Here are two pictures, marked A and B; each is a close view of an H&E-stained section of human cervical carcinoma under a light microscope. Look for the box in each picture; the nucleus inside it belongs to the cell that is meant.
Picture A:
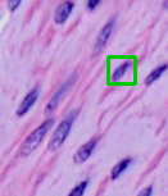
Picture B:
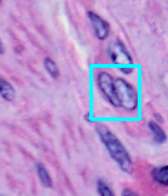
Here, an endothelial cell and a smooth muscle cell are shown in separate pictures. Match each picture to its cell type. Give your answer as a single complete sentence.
In picture A the cell is a smooth muscle cell; in picture B, an endothelial cell.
